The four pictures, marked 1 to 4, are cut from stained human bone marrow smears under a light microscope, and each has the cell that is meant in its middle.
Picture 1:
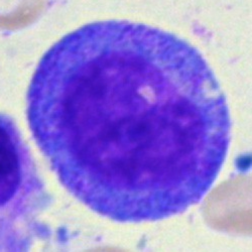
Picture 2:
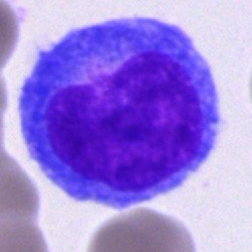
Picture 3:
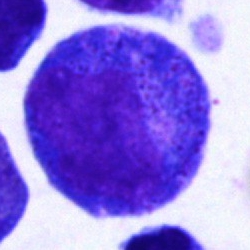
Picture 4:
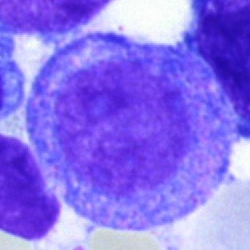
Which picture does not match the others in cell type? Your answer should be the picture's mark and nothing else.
2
